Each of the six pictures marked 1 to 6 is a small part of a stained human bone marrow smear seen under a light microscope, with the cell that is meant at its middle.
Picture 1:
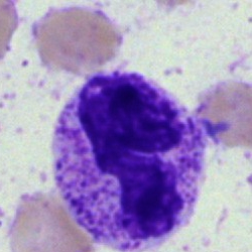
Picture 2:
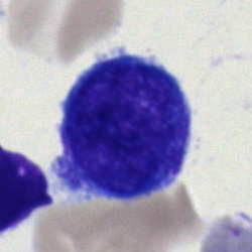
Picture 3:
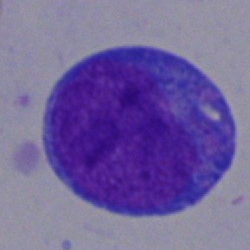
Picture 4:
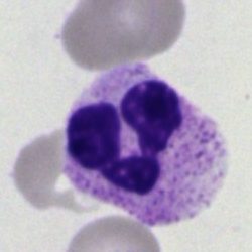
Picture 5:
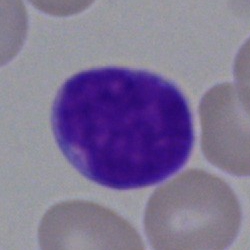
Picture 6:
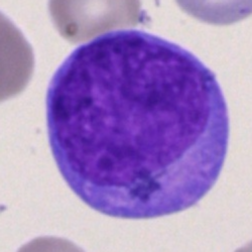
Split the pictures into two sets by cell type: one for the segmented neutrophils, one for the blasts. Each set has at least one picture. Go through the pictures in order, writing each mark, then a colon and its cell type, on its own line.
1: segmented neutrophil
2: blast
3: blast
4: segmented neutrophil
5: blast
6: blast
